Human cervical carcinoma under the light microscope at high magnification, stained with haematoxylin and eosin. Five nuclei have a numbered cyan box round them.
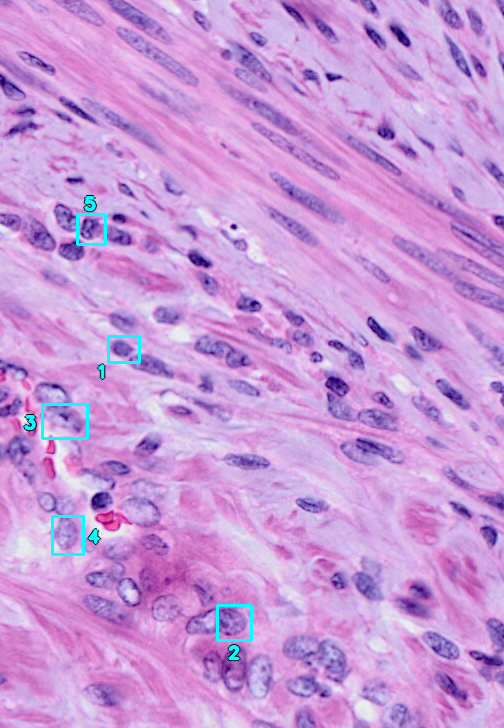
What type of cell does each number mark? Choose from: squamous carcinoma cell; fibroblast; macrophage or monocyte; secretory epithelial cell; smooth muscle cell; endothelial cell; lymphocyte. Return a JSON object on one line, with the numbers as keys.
{"1": "lymphocyte", "2": "endothelial cell", "3": "endothelial cell", "4": "endothelial cell", "5": "lymphocyte"}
